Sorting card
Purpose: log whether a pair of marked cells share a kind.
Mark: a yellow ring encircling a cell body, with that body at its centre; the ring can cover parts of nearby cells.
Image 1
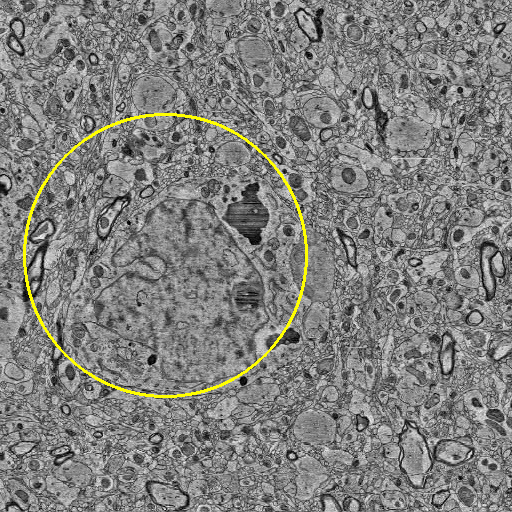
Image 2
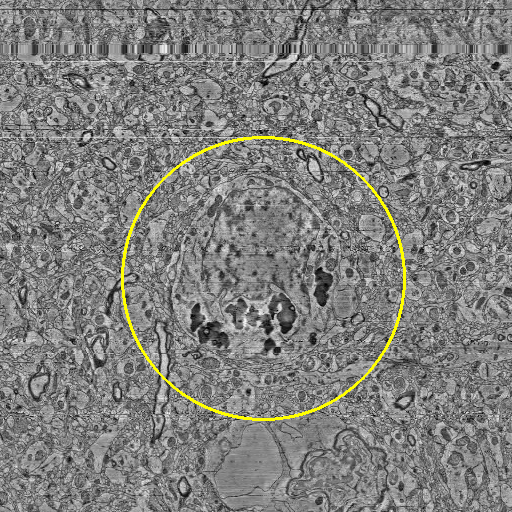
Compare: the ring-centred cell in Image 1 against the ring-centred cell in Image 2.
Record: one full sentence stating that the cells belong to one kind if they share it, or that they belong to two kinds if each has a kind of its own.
Across Images 1 and 2, the two ring-centred cells belong to one kind.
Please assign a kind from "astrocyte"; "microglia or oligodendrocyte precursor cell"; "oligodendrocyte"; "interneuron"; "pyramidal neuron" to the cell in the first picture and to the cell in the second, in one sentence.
Each of the two rings surrounds an interneuron.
